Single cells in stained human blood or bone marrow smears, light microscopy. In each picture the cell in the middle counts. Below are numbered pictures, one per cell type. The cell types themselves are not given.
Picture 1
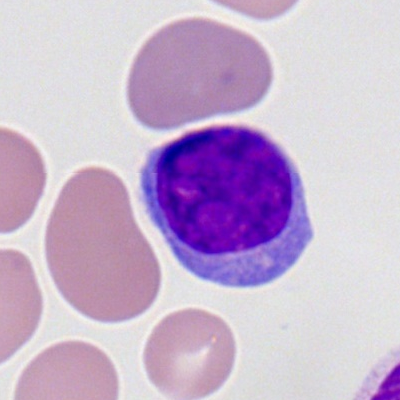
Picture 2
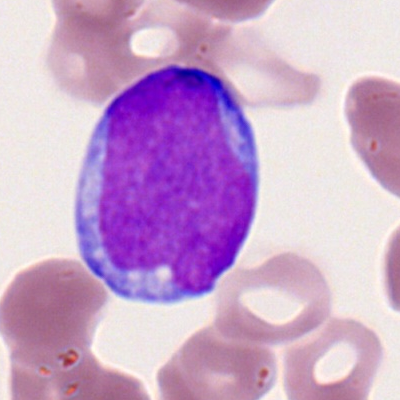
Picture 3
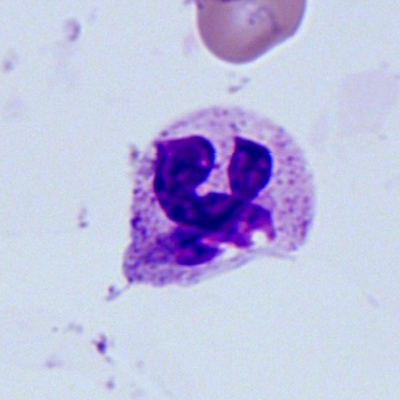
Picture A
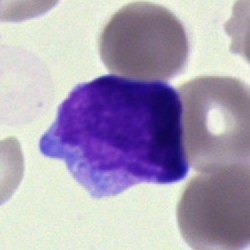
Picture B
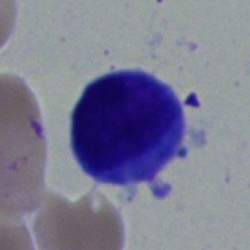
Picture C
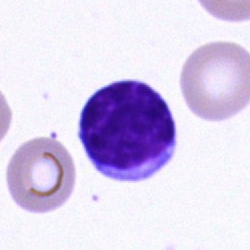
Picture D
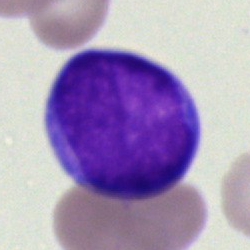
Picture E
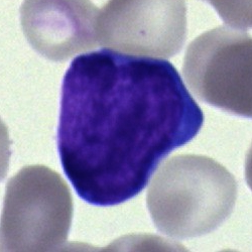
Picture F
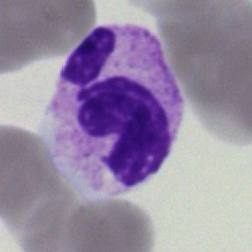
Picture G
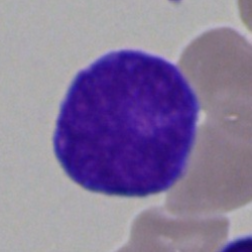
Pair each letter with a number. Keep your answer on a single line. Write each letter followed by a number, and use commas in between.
A 2, B 1, C 1, D 2, E 2, F 3, G 2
